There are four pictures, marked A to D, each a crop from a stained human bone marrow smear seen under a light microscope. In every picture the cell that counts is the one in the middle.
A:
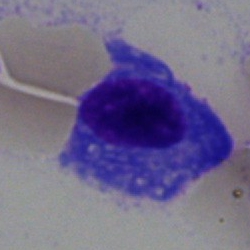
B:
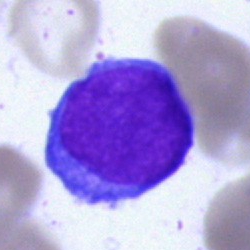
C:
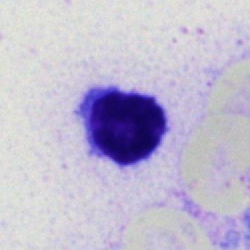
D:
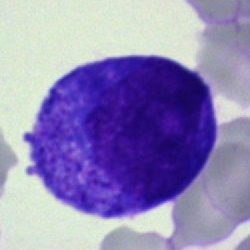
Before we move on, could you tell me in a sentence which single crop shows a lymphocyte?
So the crop with a lymphocyte at its center is crop C.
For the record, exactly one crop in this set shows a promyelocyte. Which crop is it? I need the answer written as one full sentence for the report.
Crop D matches the request, showing a promyelocyte.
